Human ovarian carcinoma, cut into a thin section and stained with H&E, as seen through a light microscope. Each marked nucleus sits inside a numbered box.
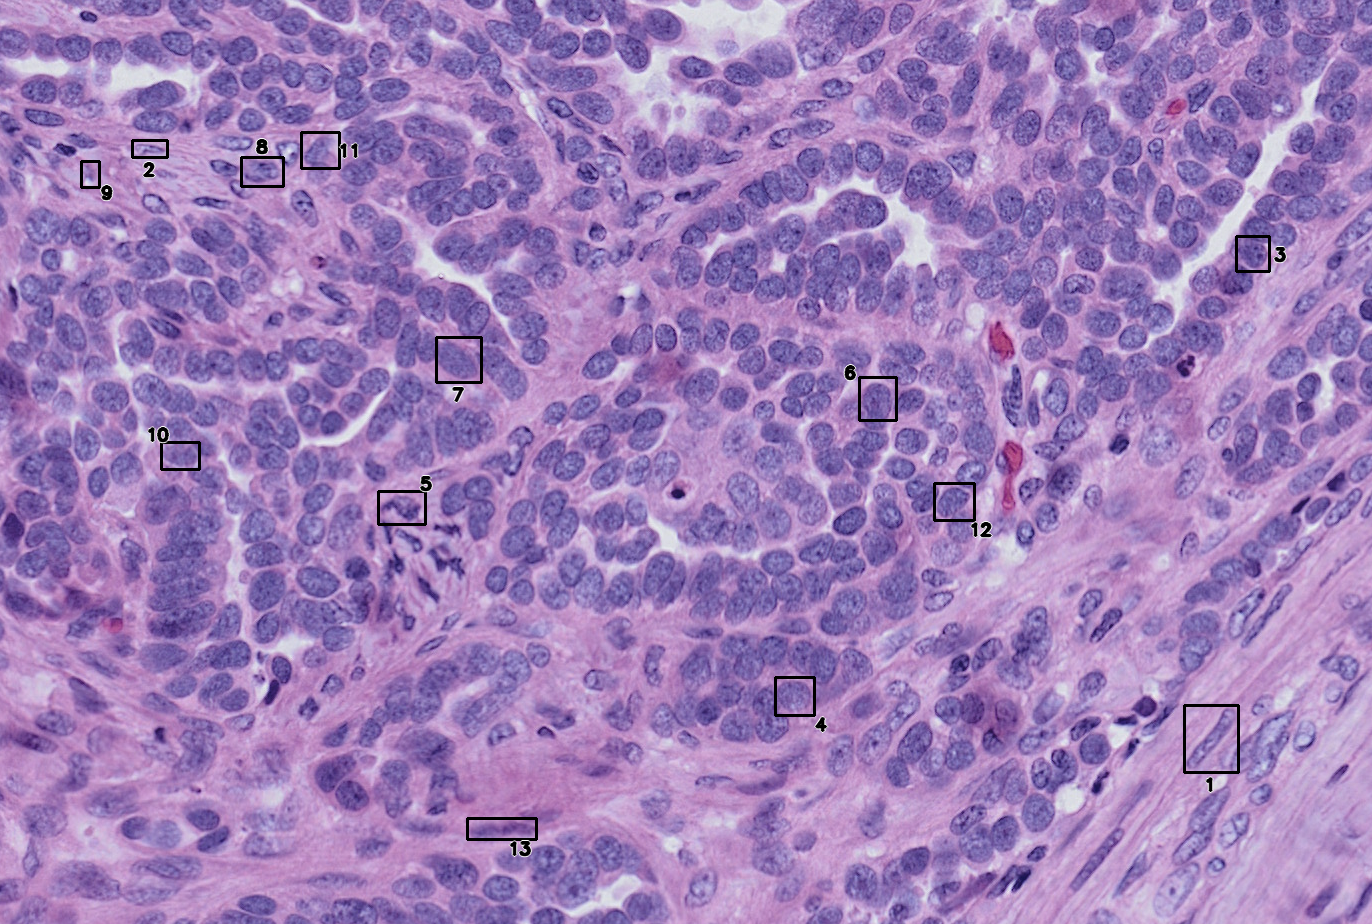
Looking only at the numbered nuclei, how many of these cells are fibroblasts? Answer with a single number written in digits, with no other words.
6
